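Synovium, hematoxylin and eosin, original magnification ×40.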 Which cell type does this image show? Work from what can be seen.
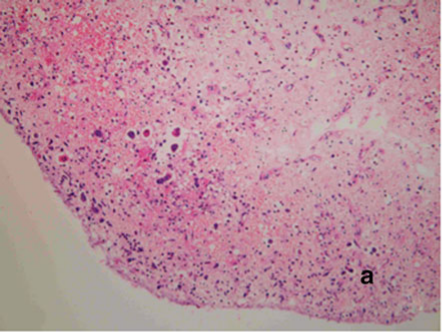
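A few cells in the upper left part are much larger than the surrounding cells. The answer: giant cells.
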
